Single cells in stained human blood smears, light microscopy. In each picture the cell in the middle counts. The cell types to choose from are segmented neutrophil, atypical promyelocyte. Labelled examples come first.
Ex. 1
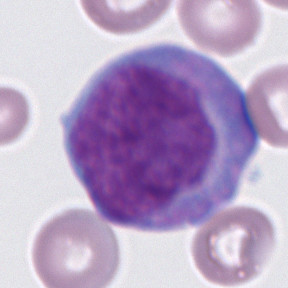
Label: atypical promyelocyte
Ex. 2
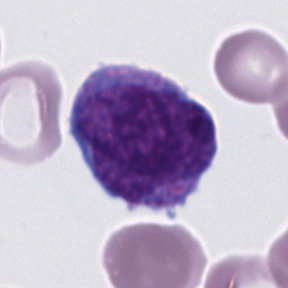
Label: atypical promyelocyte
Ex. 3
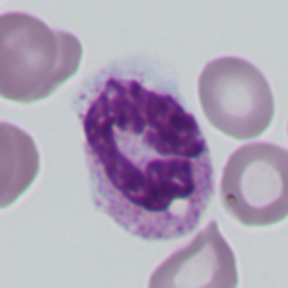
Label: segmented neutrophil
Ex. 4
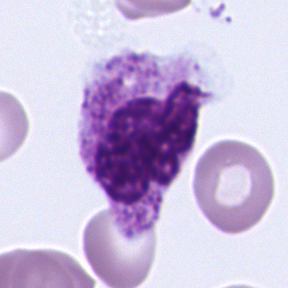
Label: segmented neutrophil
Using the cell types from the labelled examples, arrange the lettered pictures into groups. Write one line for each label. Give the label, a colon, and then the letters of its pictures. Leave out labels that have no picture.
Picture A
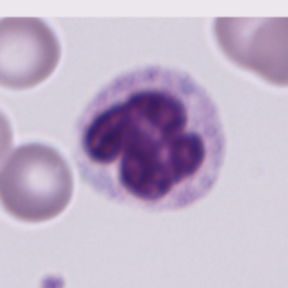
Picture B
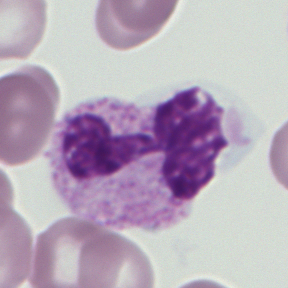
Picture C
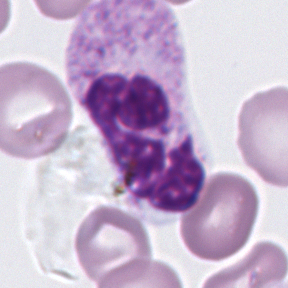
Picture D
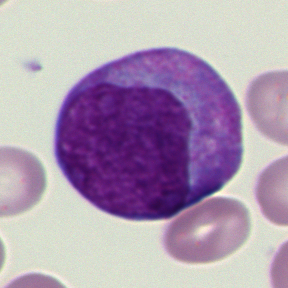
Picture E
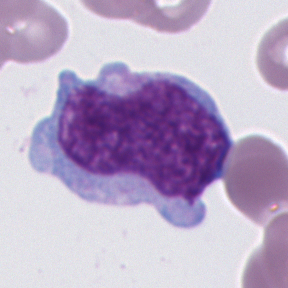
segmented neutrophil: A, B, C
atypical promyelocyte: D, E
